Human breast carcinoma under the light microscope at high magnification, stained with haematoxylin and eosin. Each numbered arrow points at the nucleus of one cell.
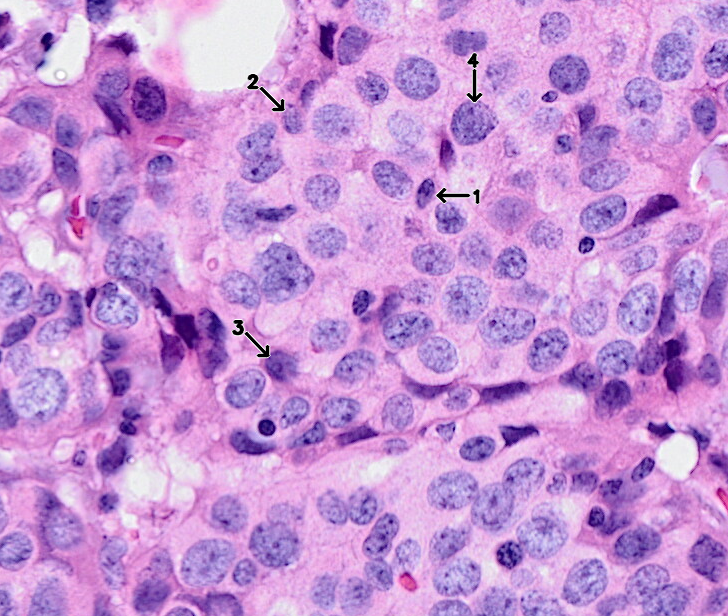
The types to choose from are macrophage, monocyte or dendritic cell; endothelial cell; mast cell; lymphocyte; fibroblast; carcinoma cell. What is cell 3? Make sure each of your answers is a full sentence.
The cell numbered 3 represents a carcinoma cell.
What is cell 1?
Cell number 1 in this section is a lymphocyte.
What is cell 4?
What the number 4 marks in this field is a carcinoma cell.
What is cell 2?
Looking at the numbered marks, cell 2 is a carcinoma cell.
